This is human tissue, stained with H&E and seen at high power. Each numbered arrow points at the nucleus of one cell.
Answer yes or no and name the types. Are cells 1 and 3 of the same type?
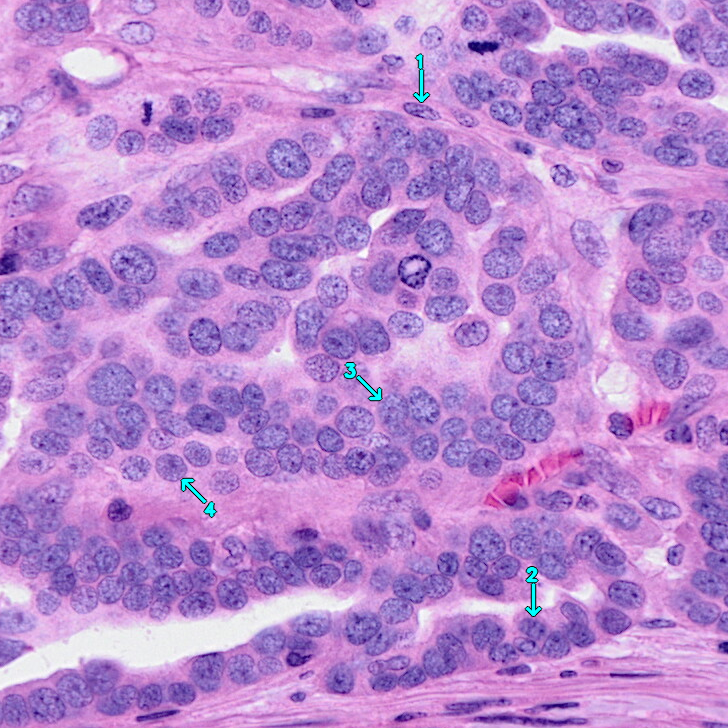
No, cell 1 is a macrophage or monocyte, with cell 3 being a carcinoma cell.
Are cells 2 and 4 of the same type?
Yes, cells 2 and 4 are both carcinoma cells and thus of one type.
